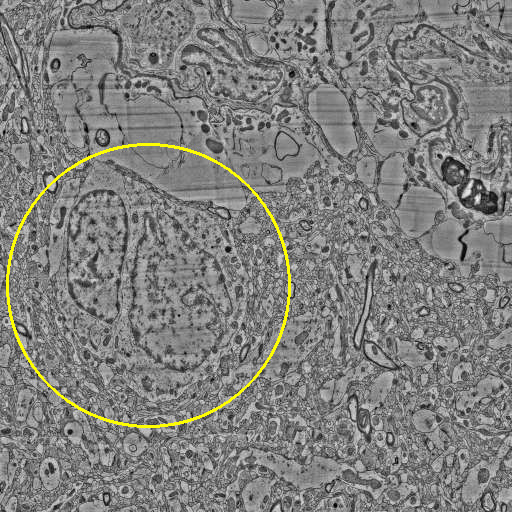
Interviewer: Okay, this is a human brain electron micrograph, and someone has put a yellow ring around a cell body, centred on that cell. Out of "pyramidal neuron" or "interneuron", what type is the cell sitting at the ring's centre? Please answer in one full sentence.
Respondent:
The cell at the centre of the yellow ring in this picture is an interneuron.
